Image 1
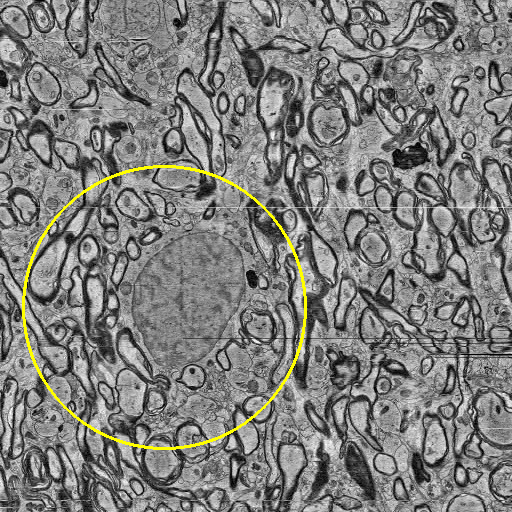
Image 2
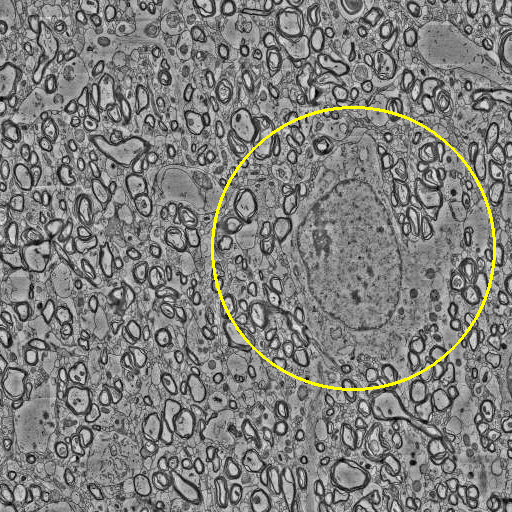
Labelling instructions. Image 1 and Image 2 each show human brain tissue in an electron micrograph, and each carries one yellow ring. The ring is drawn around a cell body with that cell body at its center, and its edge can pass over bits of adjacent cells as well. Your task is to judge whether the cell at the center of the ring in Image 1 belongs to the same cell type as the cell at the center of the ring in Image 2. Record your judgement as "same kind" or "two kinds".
two kinds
